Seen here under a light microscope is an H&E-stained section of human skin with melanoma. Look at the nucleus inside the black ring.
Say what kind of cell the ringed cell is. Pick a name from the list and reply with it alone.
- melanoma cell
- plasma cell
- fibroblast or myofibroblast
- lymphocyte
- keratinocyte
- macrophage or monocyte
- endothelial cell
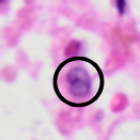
macrophage or monocyte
